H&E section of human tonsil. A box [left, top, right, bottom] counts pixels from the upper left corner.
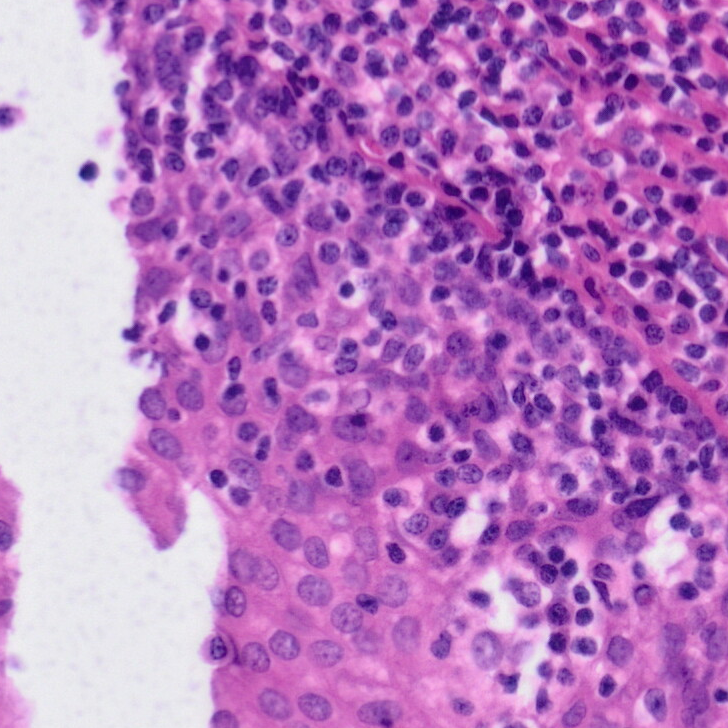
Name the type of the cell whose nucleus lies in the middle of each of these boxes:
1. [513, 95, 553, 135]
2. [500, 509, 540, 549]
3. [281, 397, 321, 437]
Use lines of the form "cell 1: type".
cell 1: plasma cell
cell 2: squamous epithelial cell
cell 3: squamous epithelial cell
